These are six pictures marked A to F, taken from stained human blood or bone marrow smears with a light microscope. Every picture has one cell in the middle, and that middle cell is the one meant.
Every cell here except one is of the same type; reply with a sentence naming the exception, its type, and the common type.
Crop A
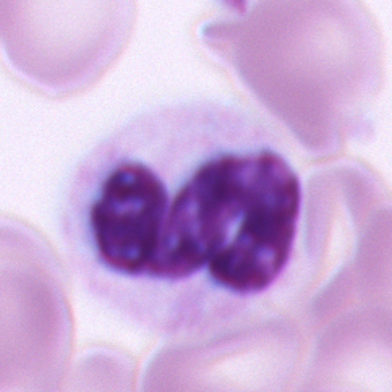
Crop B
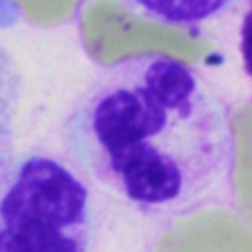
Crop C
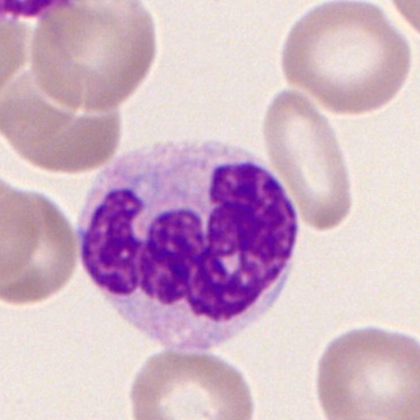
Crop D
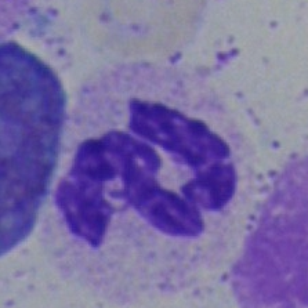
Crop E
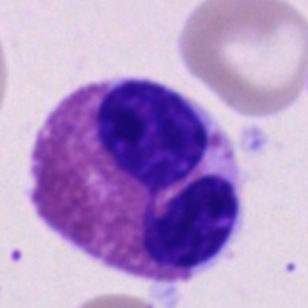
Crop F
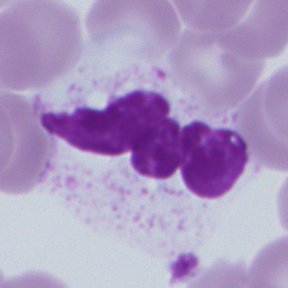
Among these crops, segmented neutrophils occur in all but crop E, which contains an eosinophil.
